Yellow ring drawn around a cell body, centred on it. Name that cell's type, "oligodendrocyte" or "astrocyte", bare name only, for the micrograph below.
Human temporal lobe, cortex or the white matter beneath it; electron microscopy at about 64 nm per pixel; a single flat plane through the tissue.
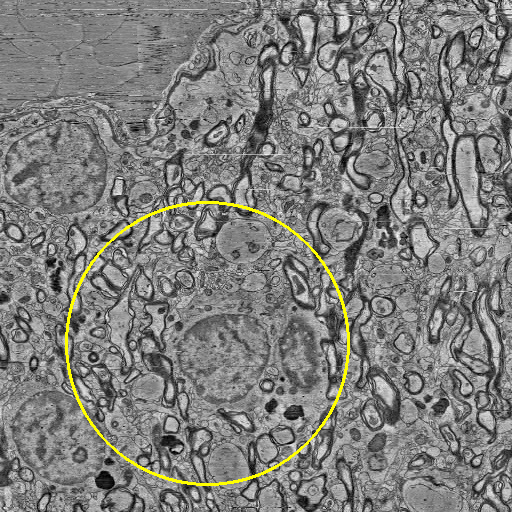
oligodendrocyte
